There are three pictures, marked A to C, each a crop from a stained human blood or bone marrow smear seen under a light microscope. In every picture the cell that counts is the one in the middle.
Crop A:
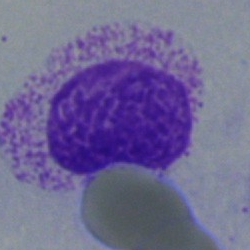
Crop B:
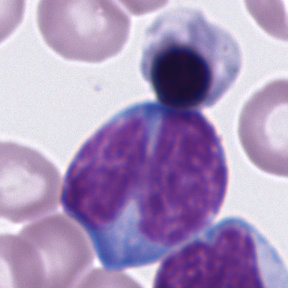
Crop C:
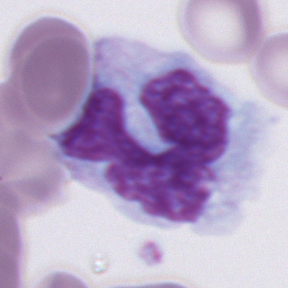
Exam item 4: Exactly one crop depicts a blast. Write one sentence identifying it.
It is the cell in crop B that is a blast.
